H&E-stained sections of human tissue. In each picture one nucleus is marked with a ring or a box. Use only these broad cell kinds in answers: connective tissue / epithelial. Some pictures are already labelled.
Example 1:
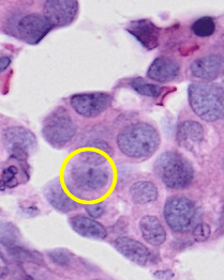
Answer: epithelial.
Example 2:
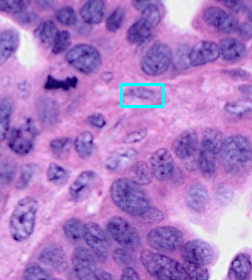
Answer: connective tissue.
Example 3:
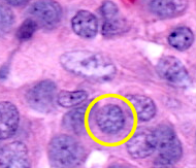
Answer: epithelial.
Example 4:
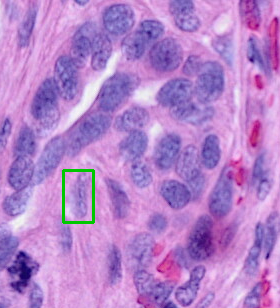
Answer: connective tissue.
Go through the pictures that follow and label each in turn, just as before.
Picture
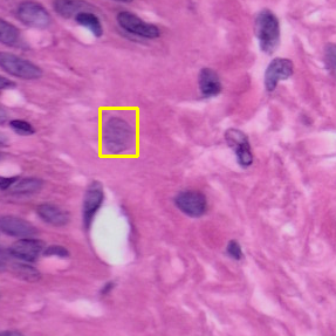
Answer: connective tissue.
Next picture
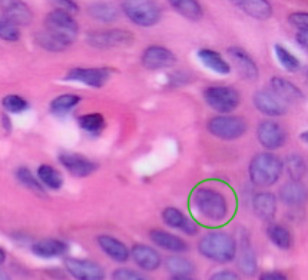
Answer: epithelial.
